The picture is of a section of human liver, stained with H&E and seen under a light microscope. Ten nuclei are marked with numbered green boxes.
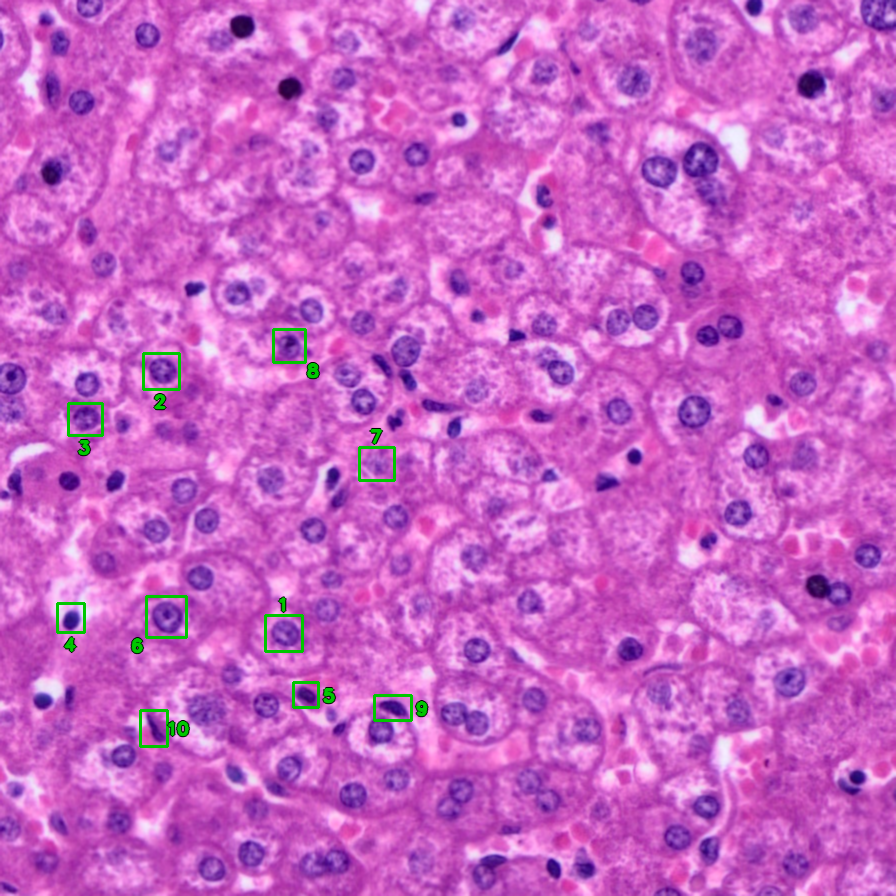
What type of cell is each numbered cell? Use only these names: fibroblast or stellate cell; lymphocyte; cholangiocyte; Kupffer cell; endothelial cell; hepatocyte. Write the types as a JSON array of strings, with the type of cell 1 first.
["hepatocyte", "hepatocyte", "hepatocyte", "lymphocyte", "Kupffer cell", "hepatocyte", "hepatocyte", "hepatocyte", "fibroblast or stellate cell", "endothelial cell"]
